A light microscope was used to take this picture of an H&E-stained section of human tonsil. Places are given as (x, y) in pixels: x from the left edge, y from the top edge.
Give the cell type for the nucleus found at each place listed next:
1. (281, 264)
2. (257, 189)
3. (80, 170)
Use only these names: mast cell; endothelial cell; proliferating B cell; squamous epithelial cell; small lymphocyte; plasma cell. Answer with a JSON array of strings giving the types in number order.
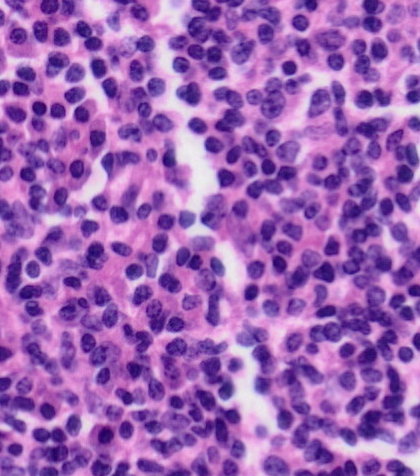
["small lymphocyte", "small lymphocyte", "plasma cell"]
